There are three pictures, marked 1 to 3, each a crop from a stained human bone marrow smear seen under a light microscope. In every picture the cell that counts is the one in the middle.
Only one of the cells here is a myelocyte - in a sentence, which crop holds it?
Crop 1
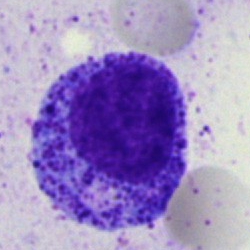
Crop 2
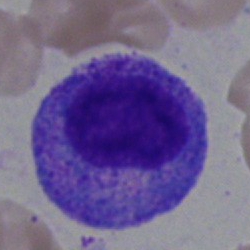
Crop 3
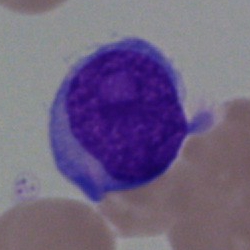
Among all the crops given here, the one with a myelocyte is crop 2.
